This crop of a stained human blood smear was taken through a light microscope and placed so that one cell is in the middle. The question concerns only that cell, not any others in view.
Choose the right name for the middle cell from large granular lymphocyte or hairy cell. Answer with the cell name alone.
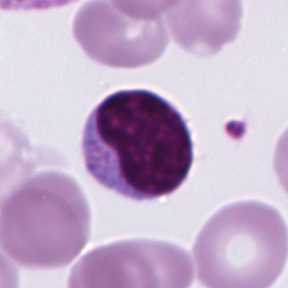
large granular lymphocyte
